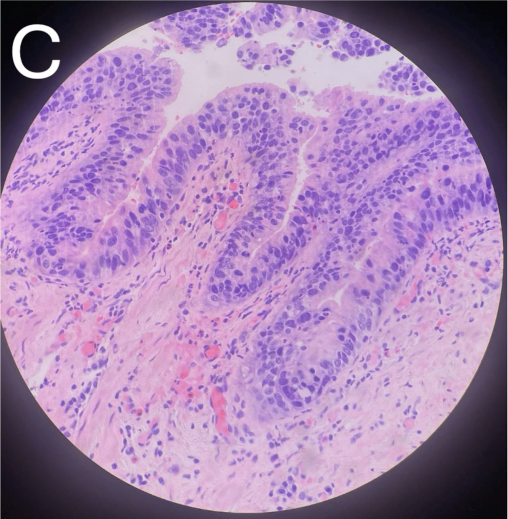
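The cells are tall with elongated, crowded, purple nuclei that are stratified and oriented roughly perpendicular to the surface, and pale pink to lilac cytoplasm toward the luminal side. Nuclear crowding and hyperchromasia indicate atypia. Beneath the epithelium lies loose pink stroma with scattered spindle cells and small vessels containing red blood cells. Detached fragments of epithelium float in the lumen at the top.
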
